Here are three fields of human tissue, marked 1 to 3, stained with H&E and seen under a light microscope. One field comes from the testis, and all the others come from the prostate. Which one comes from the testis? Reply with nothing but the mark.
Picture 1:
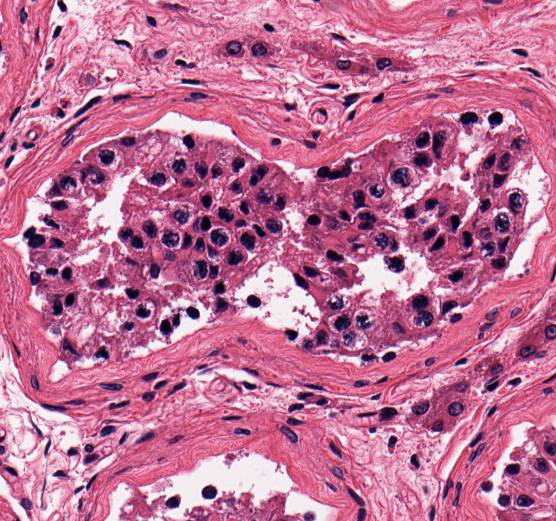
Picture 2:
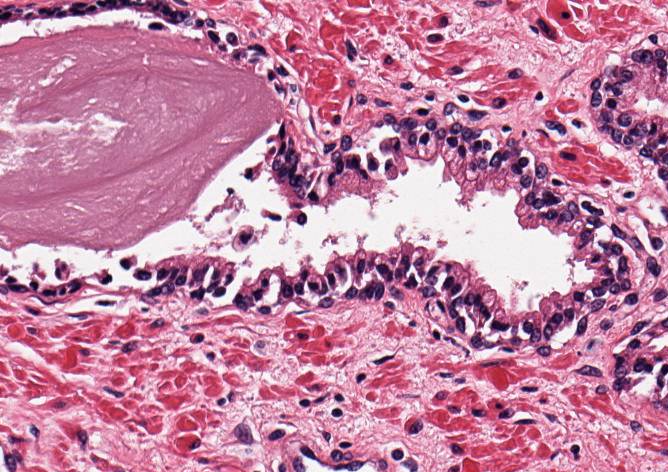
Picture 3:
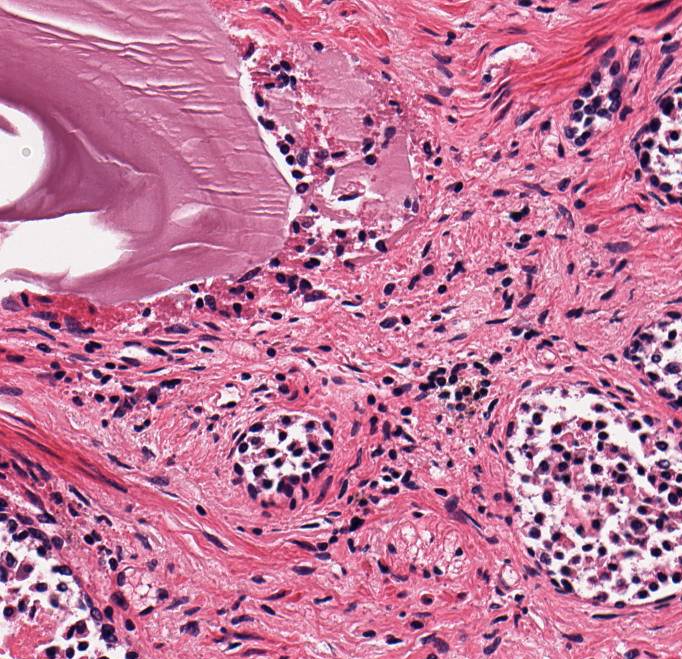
1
